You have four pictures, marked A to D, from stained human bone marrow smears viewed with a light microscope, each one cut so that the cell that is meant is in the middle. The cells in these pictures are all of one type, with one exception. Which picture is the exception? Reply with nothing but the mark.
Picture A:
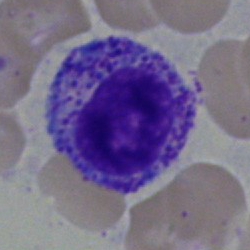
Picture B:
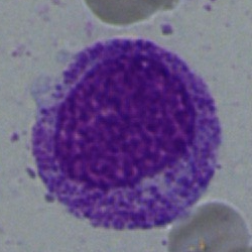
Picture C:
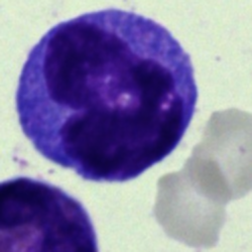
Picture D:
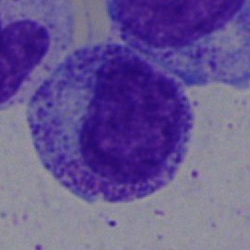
C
